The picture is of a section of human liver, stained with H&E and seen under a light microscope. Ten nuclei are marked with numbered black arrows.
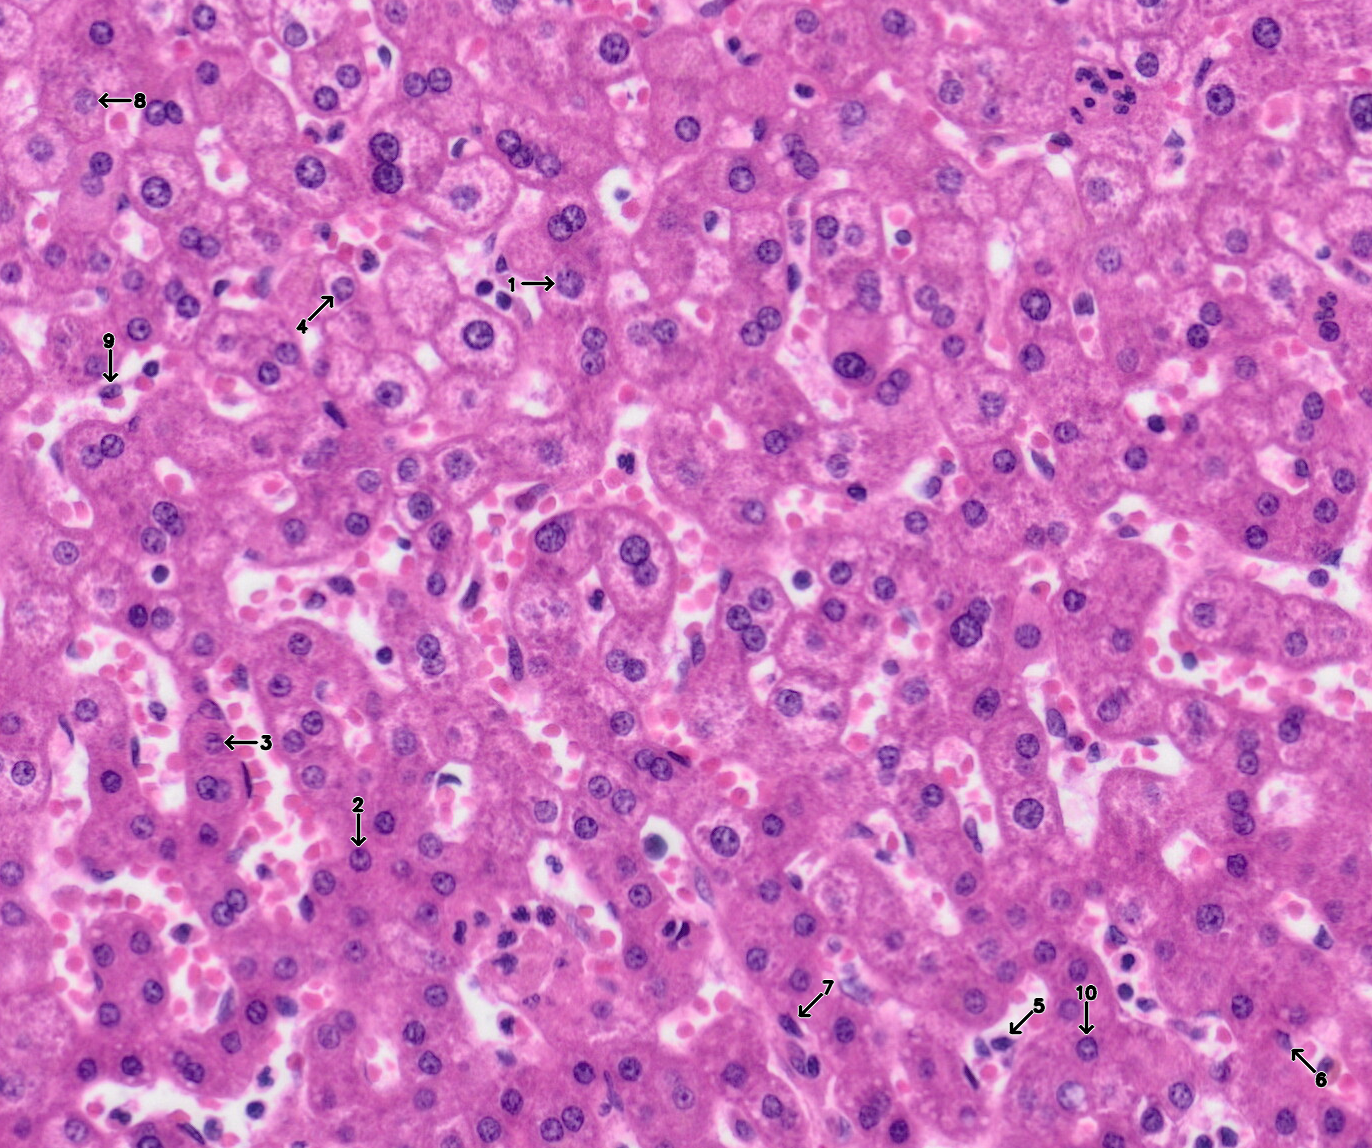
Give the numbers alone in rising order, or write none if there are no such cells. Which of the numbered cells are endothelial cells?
6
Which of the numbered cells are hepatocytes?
1, 2, 3, 4, 8, 10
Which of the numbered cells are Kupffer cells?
9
